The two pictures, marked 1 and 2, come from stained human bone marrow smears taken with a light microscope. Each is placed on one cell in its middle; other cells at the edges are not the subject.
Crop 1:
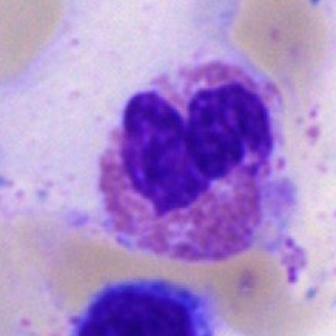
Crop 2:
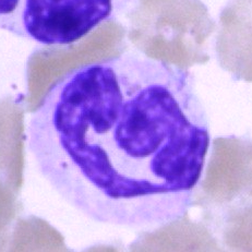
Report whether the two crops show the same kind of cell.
no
